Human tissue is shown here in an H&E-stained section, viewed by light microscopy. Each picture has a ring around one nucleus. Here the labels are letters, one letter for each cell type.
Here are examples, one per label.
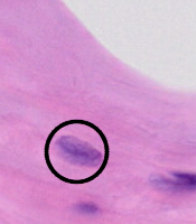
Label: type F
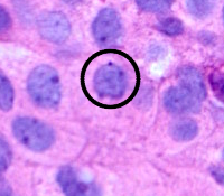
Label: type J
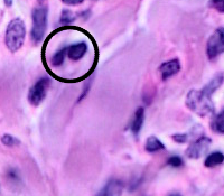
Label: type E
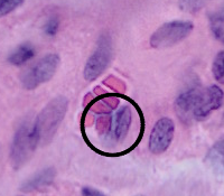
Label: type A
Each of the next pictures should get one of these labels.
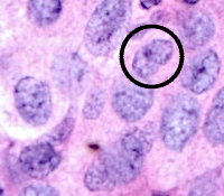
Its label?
type J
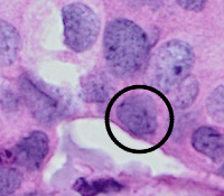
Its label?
type J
